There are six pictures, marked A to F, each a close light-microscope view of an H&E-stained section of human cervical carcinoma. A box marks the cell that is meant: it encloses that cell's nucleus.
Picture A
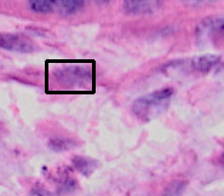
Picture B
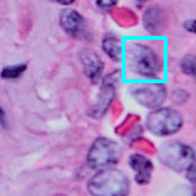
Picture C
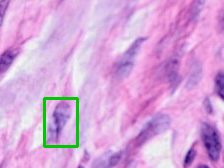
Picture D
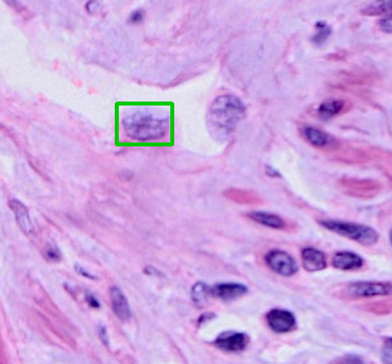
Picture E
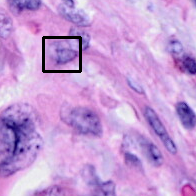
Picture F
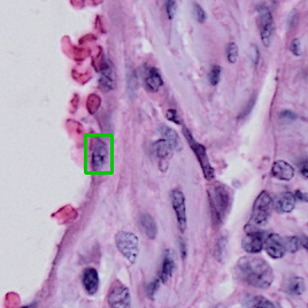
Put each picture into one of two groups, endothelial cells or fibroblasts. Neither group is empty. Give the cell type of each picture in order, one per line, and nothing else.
fibroblast
endothelial cell
fibroblast
endothelial cell
endothelial cell
endothelial cell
